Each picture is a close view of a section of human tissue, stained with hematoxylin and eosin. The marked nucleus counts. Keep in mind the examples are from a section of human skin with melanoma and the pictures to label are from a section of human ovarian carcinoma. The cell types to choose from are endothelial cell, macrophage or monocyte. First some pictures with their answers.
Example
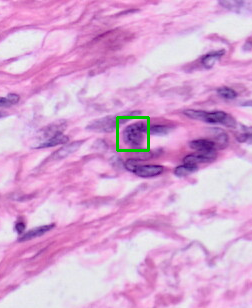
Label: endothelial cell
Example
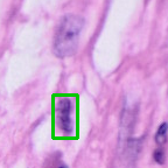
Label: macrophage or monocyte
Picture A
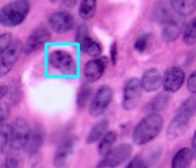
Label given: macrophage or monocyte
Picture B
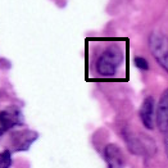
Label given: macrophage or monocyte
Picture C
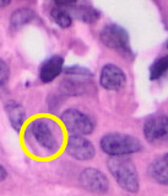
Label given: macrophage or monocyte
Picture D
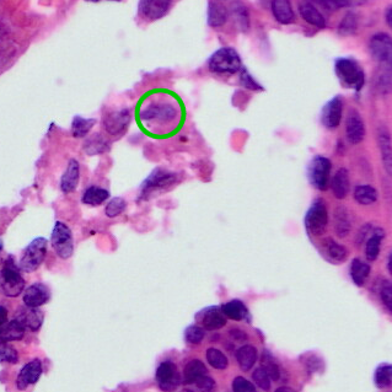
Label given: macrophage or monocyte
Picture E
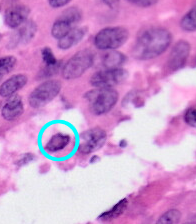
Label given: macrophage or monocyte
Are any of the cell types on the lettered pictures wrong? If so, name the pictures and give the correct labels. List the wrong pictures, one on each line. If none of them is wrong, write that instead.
Nothing to fix; every label fits.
